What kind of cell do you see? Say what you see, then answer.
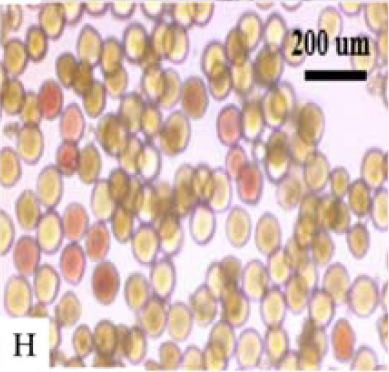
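Pollen grains. Many small round cells of uniform size lie scattered and crowded across the field. Each cell has a thin clear rim around a yellow-brown to reddish content.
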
